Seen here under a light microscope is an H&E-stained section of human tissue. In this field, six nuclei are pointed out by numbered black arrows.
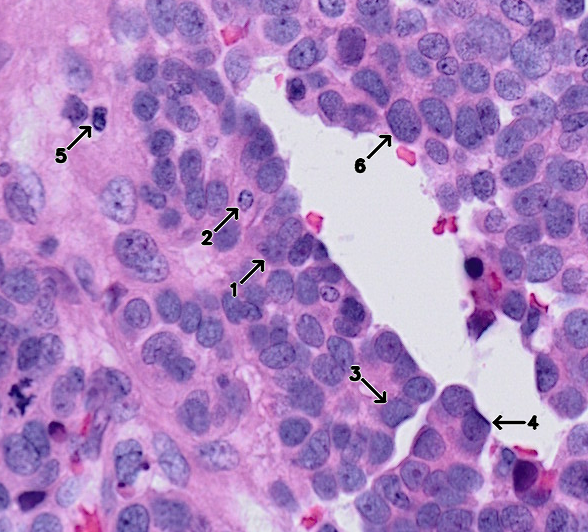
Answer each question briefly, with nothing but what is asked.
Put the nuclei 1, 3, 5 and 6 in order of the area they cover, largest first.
6, 3, 1, 5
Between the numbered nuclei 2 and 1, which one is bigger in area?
1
